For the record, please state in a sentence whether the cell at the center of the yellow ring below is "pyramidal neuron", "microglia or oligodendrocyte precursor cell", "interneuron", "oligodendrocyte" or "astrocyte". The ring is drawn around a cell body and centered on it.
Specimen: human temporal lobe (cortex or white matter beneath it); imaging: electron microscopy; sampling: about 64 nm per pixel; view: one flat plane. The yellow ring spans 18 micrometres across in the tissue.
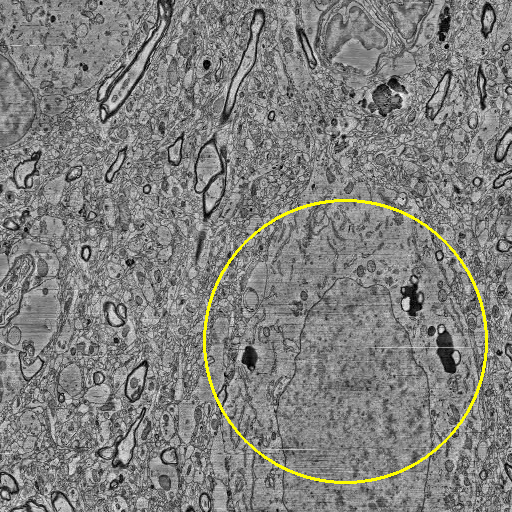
The cell at the ring's center is a pyramidal neuron.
